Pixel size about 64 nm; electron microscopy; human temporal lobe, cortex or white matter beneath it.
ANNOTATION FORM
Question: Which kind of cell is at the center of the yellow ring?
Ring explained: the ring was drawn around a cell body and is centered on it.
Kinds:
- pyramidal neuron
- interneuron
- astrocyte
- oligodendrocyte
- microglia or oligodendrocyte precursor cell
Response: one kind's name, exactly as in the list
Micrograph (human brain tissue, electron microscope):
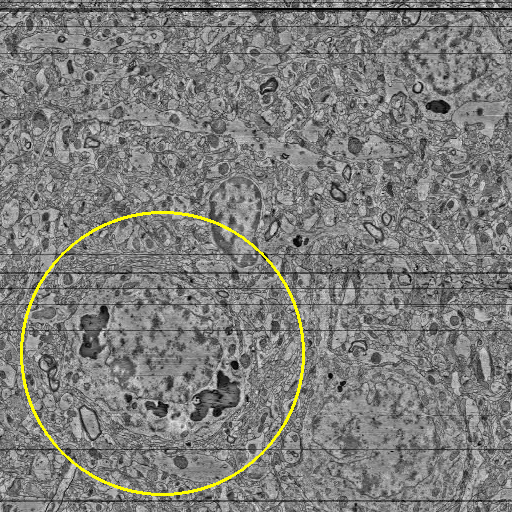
interneuron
